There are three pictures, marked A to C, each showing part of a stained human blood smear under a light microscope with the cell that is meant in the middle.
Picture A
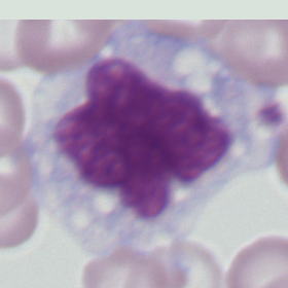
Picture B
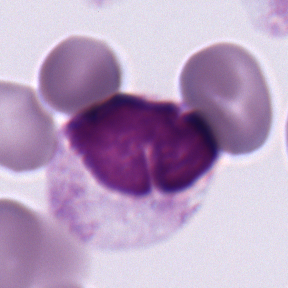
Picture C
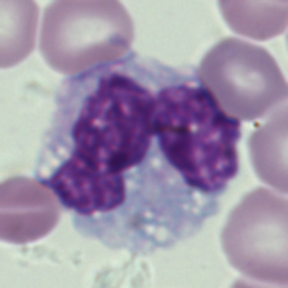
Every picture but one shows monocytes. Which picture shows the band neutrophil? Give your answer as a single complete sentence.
The cell in picture B is the band neutrophil.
